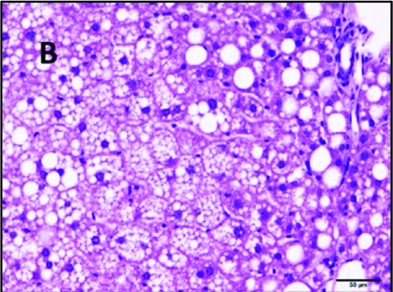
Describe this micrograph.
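Liver parenchyma in which the hepatocytes show marked fatty change with both small and large lipid vacuoles. Many hepatocytes contain single or few large round clear vacuoles, while others, especially in the centre of the field, have a finely foamy, pale cytoplasm filled with many small vacuoles. Hepatocyte nuclei are round, purple and mostly central in the foamy cells. The normal cord arrangement is obscured by the swollen, vacuolated cells. A small vessel with a few adjacent small dark nuclei is seen at the right edge.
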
